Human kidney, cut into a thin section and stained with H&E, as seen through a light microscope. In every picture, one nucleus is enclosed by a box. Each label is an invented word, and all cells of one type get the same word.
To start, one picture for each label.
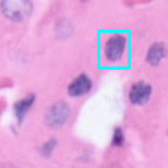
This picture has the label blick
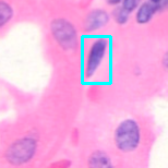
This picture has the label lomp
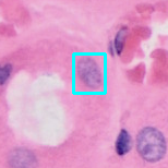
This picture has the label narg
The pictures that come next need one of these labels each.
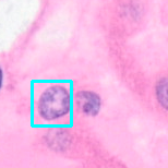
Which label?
narg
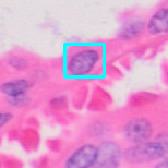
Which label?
blick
